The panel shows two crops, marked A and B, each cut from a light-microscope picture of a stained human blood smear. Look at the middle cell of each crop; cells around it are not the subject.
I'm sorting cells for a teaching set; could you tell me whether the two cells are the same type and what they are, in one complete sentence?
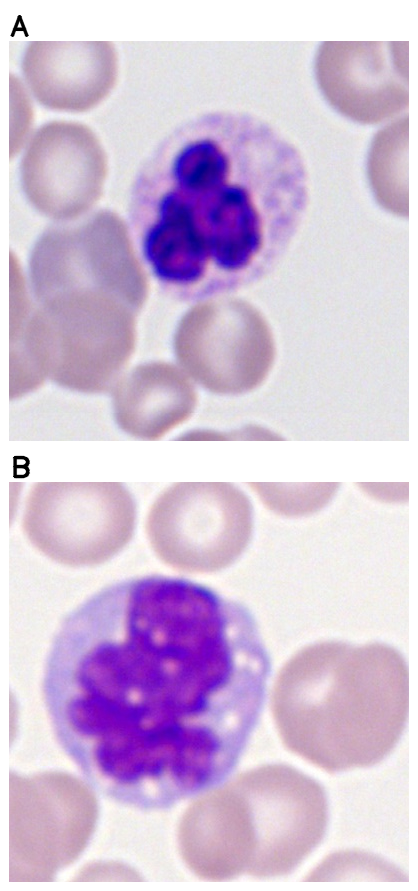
No, a neutrophil is in crop A, while a monocyte is in crop B.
